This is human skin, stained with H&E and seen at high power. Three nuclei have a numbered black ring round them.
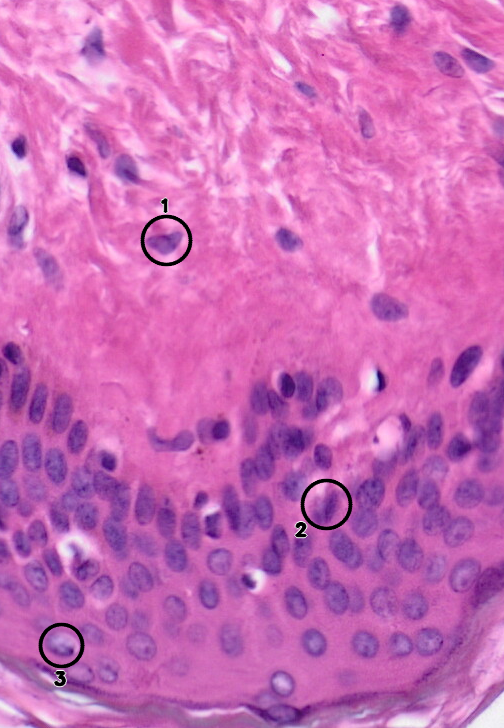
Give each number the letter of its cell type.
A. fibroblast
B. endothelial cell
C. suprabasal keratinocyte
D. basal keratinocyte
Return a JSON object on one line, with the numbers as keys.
{"1": "A", "2": "D", "3": "C"}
